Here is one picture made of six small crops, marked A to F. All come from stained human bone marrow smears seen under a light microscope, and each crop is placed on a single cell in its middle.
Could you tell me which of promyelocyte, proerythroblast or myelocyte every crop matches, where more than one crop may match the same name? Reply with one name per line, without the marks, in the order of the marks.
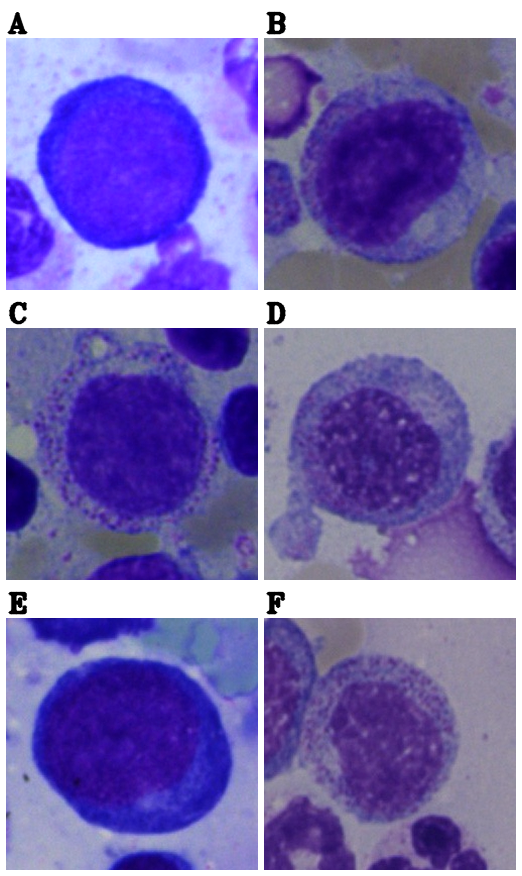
proerythroblast
myelocyte
myelocyte
promyelocyte
proerythroblast
myelocyte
